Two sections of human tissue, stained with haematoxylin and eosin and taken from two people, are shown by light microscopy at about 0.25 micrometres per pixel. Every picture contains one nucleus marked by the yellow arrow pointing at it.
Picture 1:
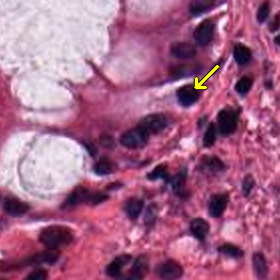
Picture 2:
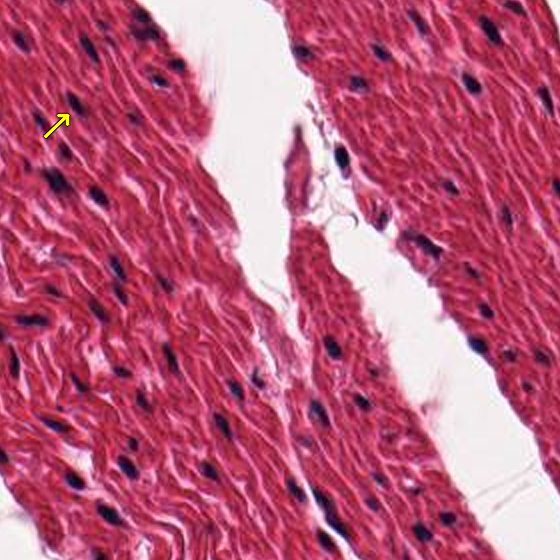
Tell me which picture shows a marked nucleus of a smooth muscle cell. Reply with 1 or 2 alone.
2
